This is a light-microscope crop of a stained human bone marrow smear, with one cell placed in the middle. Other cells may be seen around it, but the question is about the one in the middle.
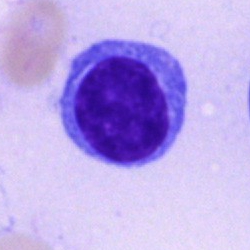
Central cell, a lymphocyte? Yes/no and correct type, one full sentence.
Yes, the cell at the middle of the field is to be classed as a lymphocyte.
